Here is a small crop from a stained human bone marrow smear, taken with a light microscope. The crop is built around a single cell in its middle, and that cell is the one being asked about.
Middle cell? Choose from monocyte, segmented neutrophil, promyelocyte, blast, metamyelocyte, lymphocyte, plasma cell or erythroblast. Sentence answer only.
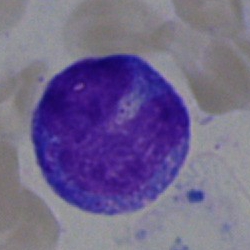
The cell at the central position in this crop is a monocyte.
